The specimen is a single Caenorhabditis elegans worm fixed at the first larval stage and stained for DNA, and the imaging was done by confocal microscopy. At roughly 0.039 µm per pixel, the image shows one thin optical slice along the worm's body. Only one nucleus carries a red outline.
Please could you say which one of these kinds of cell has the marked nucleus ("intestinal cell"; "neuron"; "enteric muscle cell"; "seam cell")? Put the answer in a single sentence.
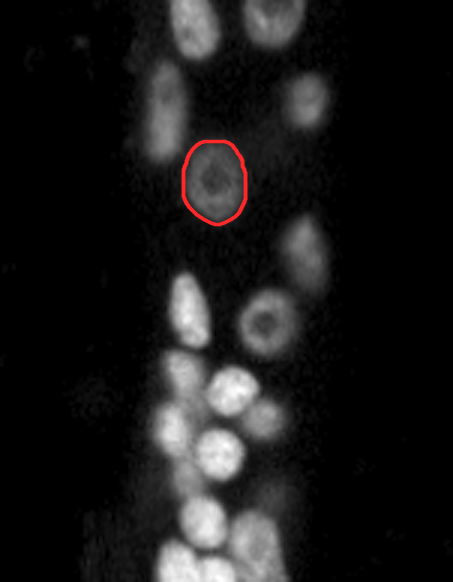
The nucleus comes from a seam cell.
